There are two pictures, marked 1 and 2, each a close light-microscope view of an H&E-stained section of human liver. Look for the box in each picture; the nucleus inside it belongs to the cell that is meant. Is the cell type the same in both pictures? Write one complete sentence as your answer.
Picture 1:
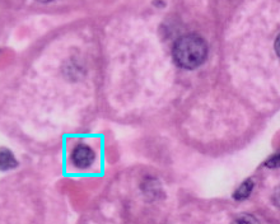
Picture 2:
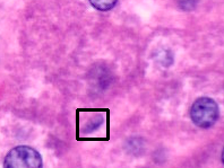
No, they differ: the cell is a lymphocyte in picture 1 and an endothelial cell in picture 2.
